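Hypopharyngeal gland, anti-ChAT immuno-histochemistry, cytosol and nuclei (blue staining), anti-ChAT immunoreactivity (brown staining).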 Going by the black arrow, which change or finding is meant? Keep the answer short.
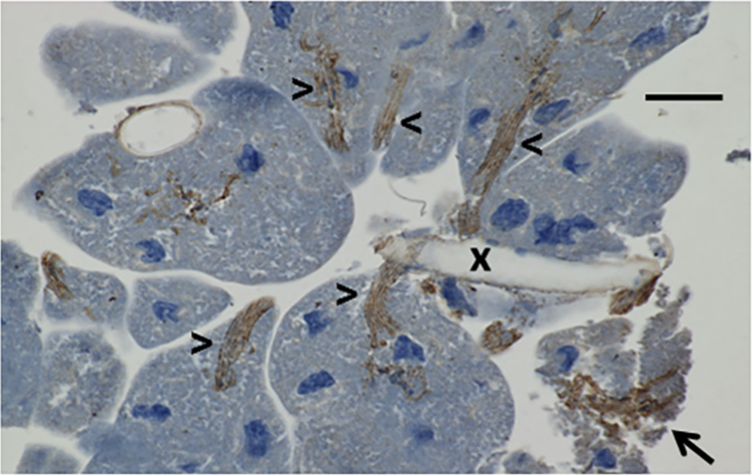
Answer: acini damaged as a result of the preparation procedure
